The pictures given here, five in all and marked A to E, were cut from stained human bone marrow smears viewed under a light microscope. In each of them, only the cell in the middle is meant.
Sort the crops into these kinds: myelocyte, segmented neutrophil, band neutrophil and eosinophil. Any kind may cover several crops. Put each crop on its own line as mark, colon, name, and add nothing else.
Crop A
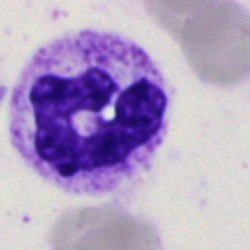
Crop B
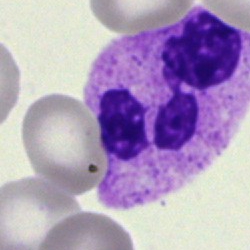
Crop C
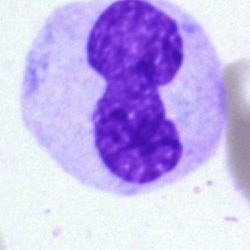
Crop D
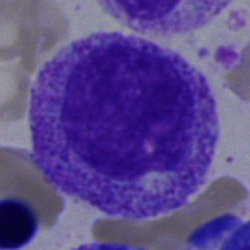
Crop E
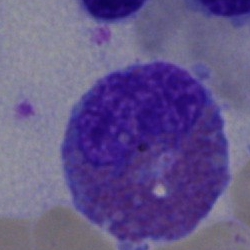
A: segmented neutrophil
B: segmented neutrophil
C: band neutrophil
D: myelocyte
E: eosinophil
